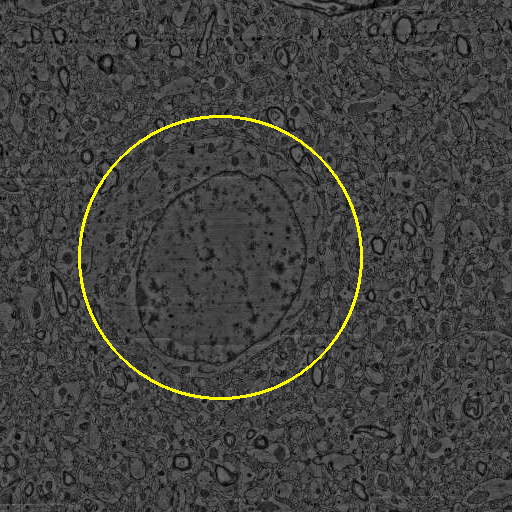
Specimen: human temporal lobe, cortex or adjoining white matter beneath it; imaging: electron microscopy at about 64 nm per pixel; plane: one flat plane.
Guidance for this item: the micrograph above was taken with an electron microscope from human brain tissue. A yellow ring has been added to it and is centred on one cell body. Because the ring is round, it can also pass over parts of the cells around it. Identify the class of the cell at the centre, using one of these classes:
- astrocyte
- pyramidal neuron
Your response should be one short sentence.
The ring surrounds the body of a pyramidal neuron.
